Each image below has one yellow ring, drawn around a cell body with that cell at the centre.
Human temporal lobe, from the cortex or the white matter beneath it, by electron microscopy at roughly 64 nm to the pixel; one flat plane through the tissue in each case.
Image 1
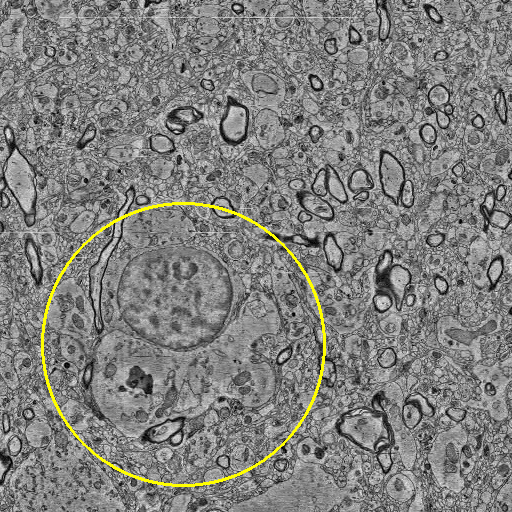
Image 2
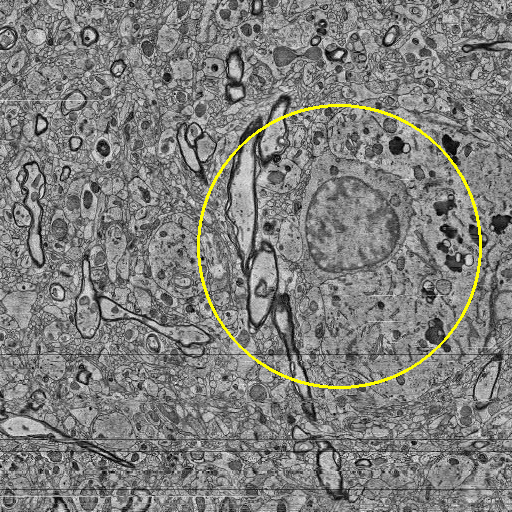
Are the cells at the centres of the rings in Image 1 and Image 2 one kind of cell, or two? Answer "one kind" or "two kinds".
one kind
